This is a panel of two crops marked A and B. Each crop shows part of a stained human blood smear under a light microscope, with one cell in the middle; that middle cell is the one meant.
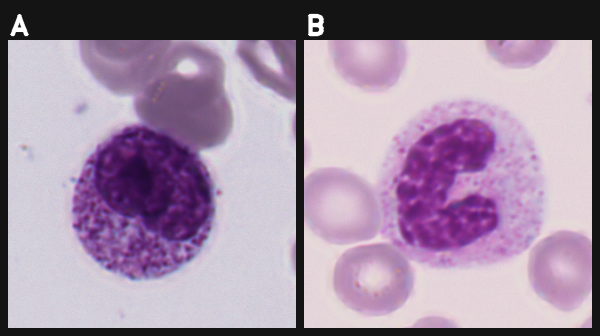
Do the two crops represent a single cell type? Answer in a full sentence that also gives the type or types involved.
No, the cell centred in crop B is a band neutrophil; crop A centres on a metamyelocyte.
